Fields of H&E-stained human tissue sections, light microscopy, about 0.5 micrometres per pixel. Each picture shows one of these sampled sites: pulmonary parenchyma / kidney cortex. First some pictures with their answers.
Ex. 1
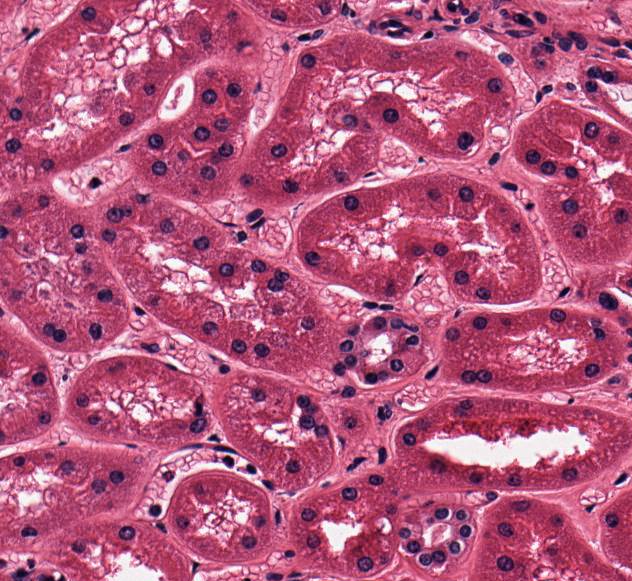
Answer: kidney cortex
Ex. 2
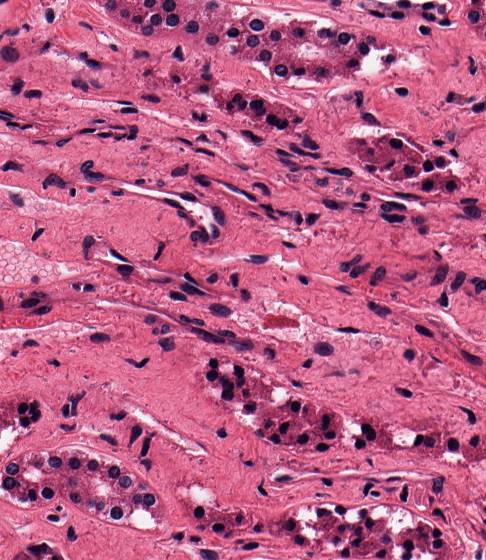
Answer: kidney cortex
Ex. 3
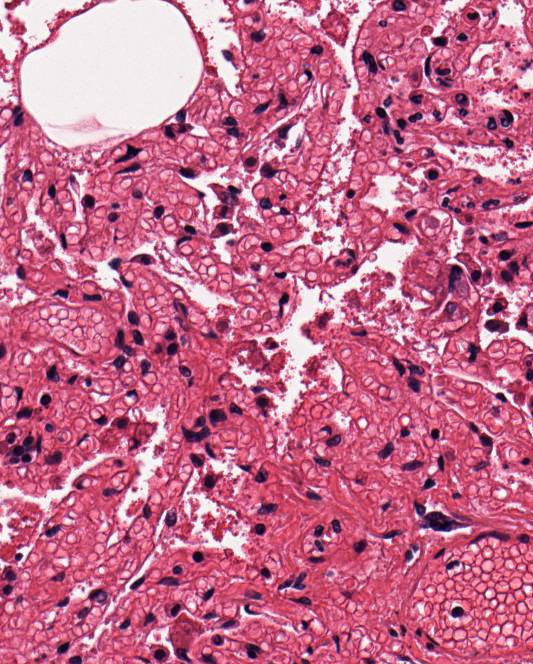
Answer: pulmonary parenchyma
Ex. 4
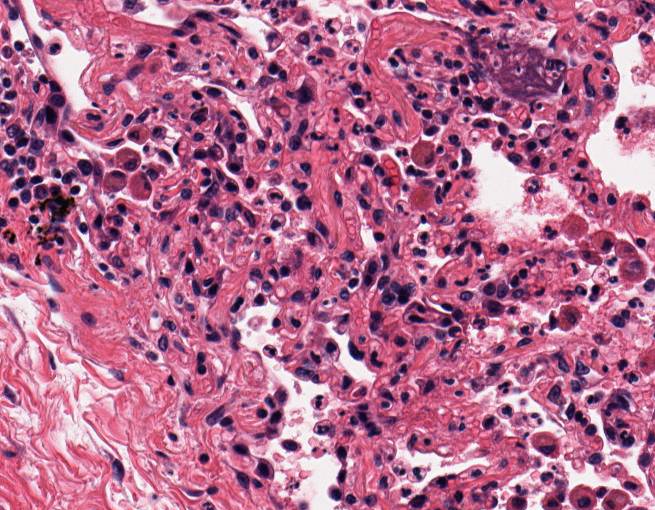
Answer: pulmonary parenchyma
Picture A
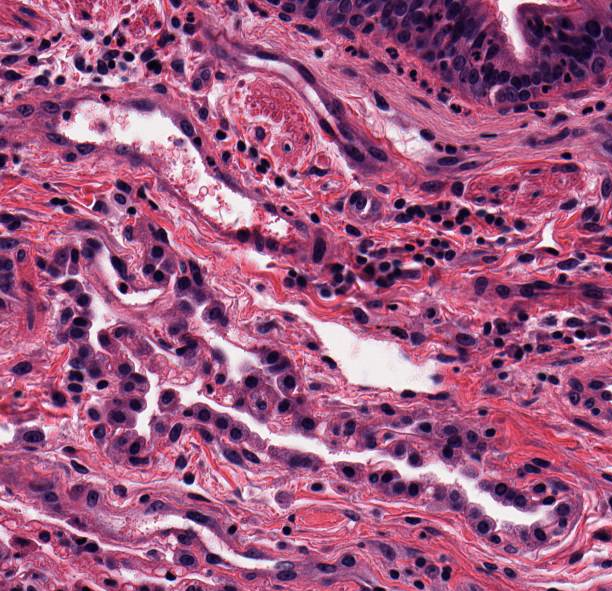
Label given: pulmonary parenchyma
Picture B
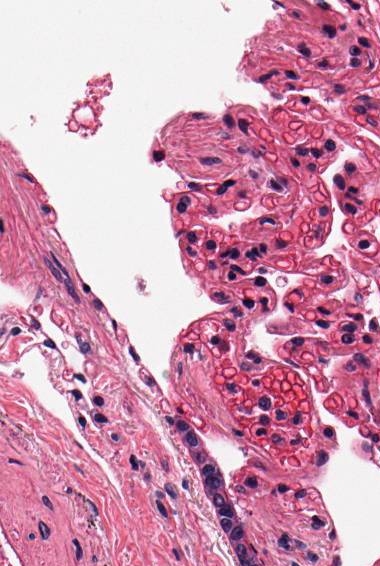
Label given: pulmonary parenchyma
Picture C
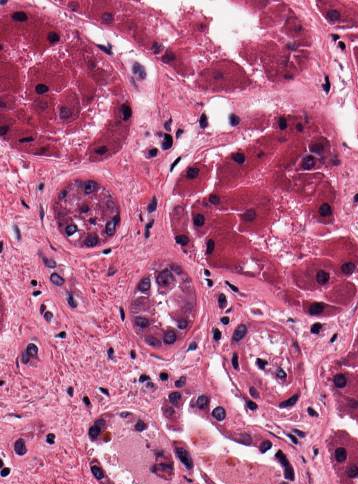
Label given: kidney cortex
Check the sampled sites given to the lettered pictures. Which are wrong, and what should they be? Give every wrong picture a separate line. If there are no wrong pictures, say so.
No label is wrong.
